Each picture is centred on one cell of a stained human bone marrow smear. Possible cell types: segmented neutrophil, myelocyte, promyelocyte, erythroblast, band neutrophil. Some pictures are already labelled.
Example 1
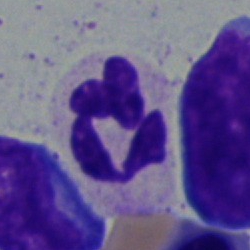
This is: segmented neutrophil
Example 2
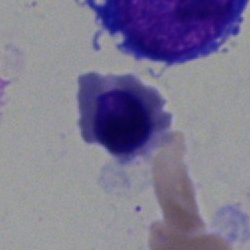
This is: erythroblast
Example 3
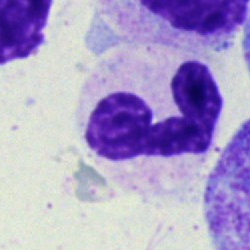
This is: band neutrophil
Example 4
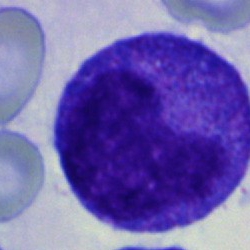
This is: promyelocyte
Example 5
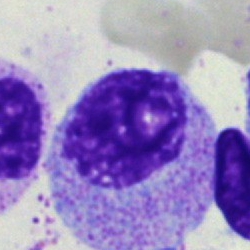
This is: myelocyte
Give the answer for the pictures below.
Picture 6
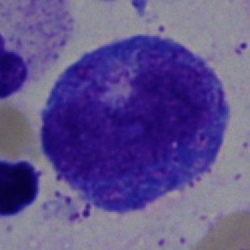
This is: promyelocyte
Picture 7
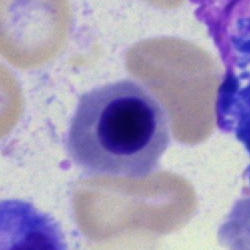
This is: erythroblast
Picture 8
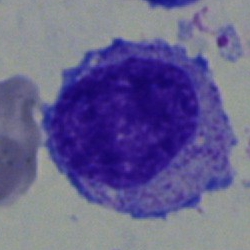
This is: myelocyte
